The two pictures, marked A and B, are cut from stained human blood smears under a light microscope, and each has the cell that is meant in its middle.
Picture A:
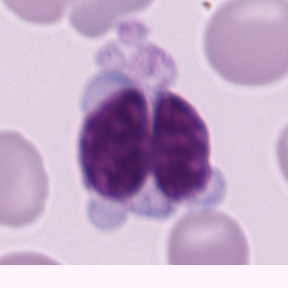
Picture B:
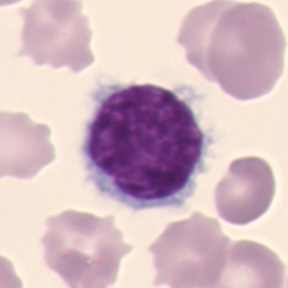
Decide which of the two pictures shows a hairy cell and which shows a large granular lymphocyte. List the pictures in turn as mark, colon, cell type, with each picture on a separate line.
A: large granular lymphocyte
B: hairy cell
